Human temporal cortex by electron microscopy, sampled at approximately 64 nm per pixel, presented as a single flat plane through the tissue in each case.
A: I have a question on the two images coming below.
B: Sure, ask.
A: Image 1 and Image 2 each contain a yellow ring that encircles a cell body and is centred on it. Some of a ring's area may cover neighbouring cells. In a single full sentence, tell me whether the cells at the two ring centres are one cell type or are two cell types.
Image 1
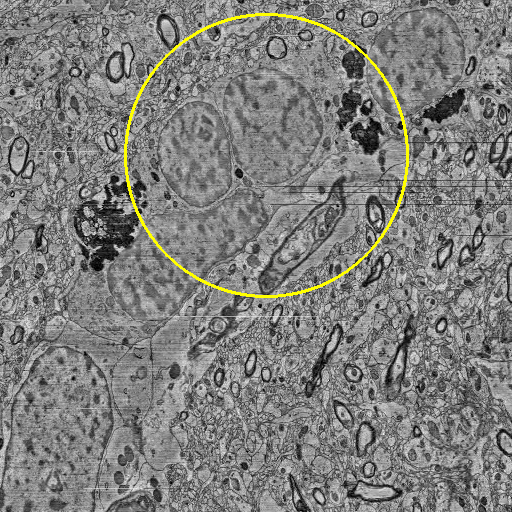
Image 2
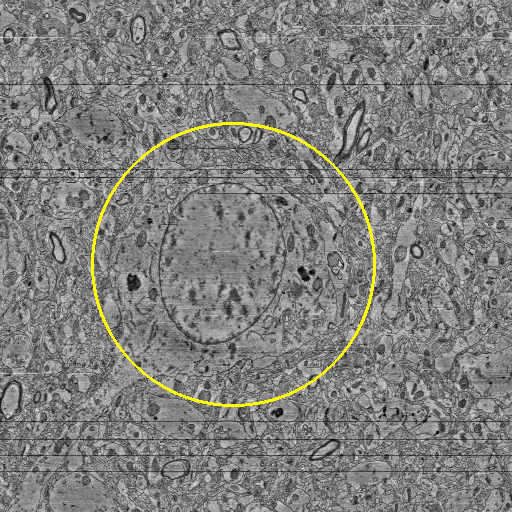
As for the ring-centre cells, the one in Image 1 and the one in Image 2 are two cell types.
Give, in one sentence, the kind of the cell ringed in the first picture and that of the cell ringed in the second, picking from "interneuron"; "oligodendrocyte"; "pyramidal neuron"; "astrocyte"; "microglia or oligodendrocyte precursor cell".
For the first picture it is an oligodendrocyte; for the second, a pyramidal neuron.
